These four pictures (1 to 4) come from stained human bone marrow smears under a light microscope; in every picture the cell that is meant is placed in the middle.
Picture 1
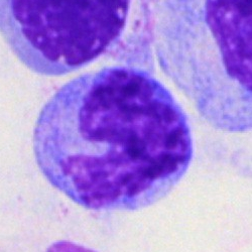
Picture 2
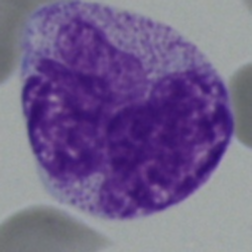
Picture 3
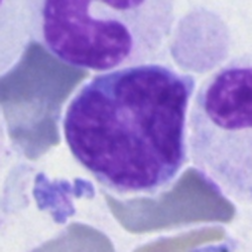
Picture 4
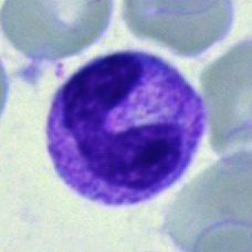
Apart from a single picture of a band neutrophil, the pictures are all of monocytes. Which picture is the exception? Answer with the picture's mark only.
4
